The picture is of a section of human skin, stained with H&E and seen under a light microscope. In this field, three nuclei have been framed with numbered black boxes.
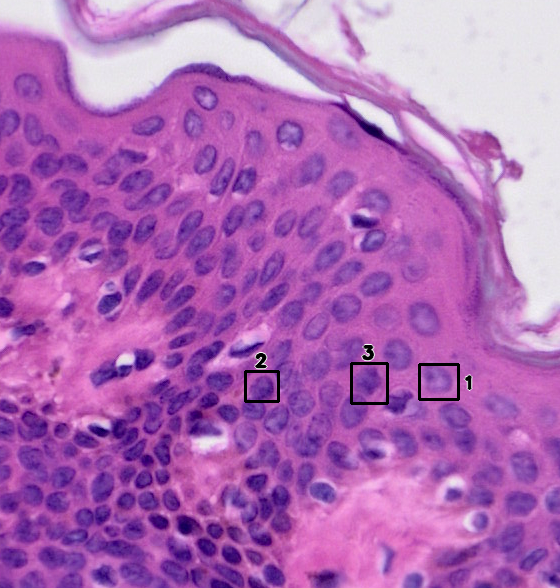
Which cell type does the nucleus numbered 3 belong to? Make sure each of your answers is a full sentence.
The identity of cell 3 is that of a suprabasal keratinocyte.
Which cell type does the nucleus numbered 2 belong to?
The one labeled 2 is a basal keratinocyte, to put it simply.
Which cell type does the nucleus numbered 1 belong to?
The correct answer for cell 1 is a suprabasal keratinocyte.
